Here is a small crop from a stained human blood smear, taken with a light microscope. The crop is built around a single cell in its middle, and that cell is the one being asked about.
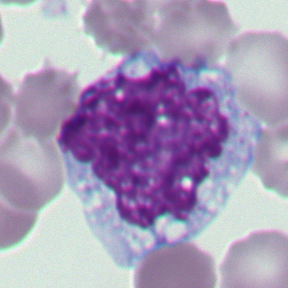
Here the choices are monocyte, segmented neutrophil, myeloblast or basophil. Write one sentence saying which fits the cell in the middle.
The cell of interest, in the center, is a monocyte.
